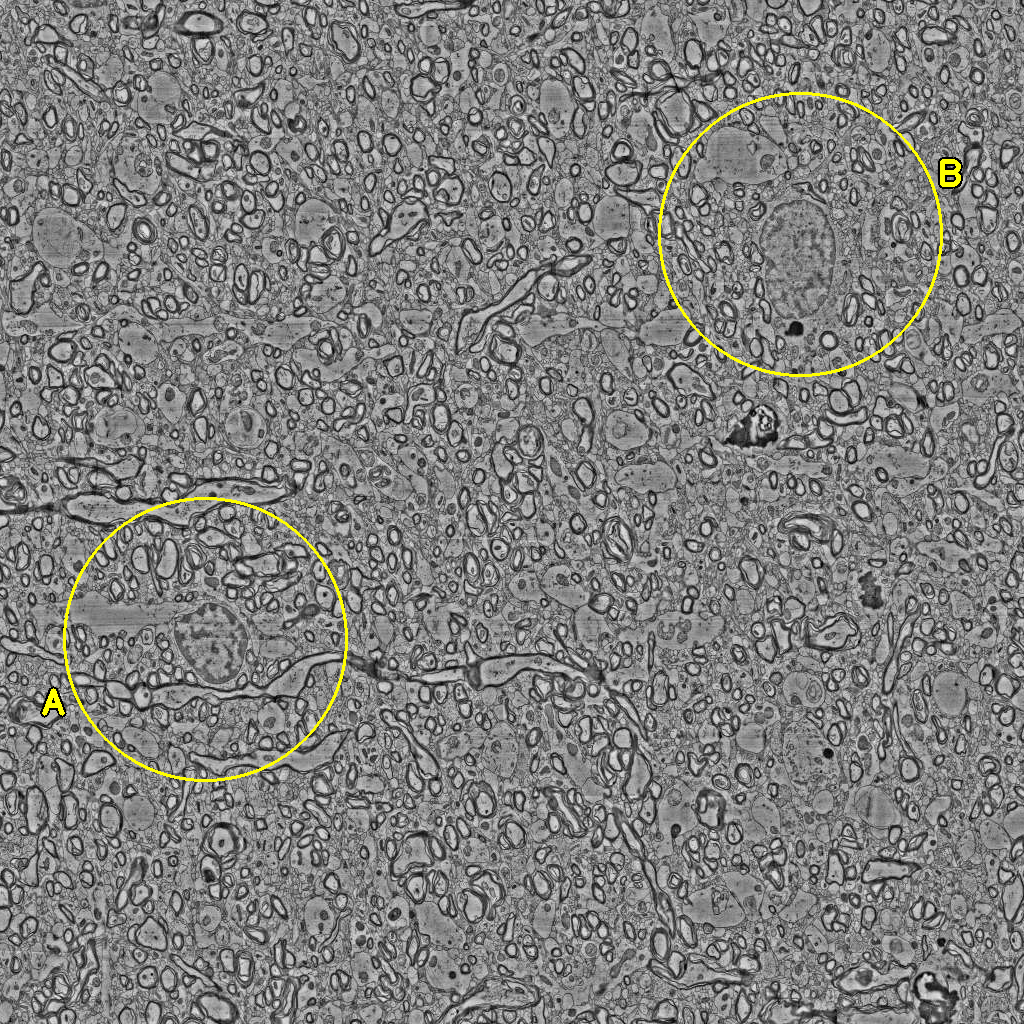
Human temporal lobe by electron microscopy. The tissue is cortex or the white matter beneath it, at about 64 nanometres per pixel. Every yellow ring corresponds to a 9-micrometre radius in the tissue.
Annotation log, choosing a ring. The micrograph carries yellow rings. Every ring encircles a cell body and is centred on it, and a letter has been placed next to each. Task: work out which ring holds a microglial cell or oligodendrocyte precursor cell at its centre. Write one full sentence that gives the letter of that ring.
In the micrograph, the ring centred on the cell asked for carries the letter A.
